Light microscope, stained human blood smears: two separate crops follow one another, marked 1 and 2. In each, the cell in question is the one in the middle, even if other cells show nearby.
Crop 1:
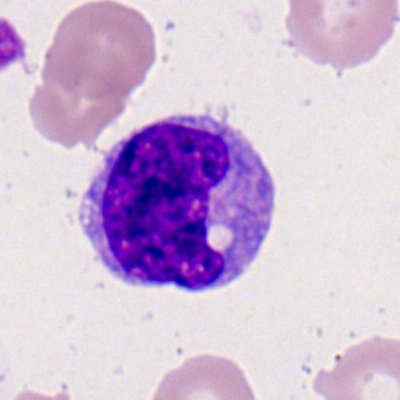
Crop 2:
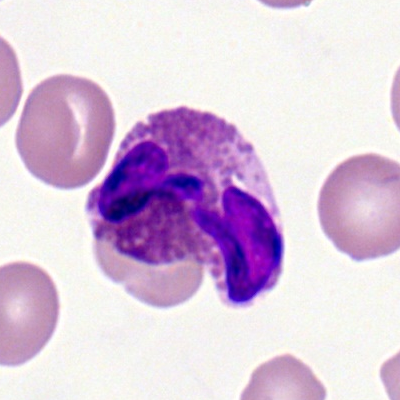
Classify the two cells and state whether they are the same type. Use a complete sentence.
No, a monocyte is in crop 1, while an eosinophil is in crop 2.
